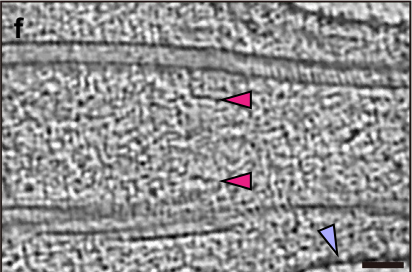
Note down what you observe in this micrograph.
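Longitudinal view of a basal body whose microtubules continue distally into a cilium. Parallel microtubule walls run horizontally across the field. A membrane follows the outside of the extension at the lower right.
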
